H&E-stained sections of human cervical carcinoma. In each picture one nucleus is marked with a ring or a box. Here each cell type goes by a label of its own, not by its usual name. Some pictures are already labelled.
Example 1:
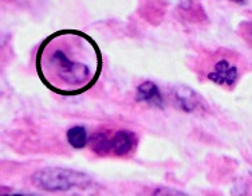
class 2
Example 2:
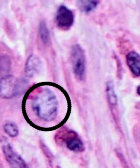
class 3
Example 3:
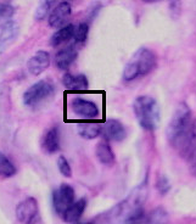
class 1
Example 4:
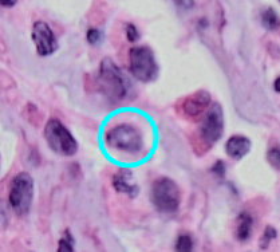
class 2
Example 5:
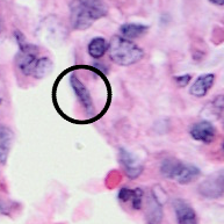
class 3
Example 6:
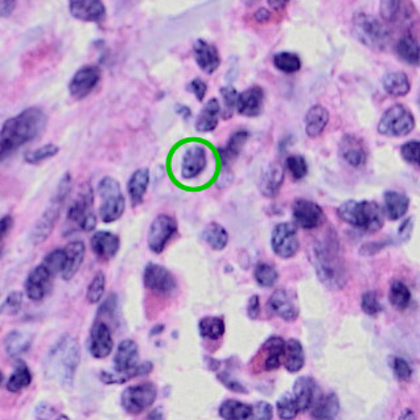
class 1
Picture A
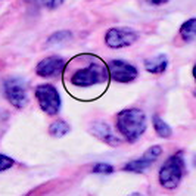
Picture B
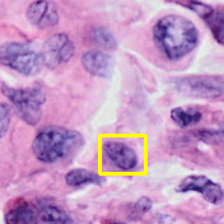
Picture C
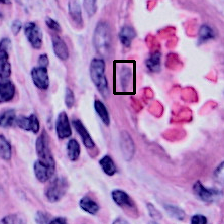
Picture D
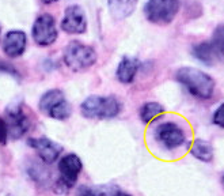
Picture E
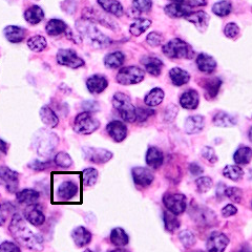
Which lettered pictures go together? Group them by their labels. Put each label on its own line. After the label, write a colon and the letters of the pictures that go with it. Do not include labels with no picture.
class 2: B
class 3: C
class 1: A, D, E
